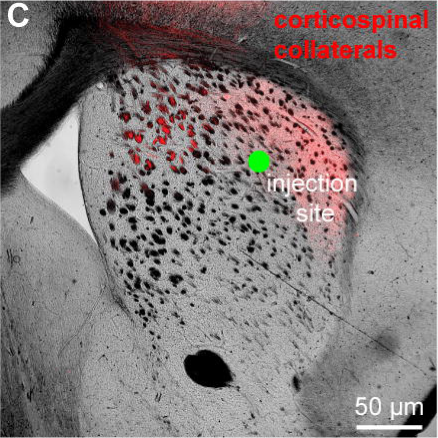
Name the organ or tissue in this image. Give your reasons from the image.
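Striatum. Grey matter is pierced by many small dark round fibre bundles. A band of white matter arches over the top of the region. A ventricle-like space lies at the left edge.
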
